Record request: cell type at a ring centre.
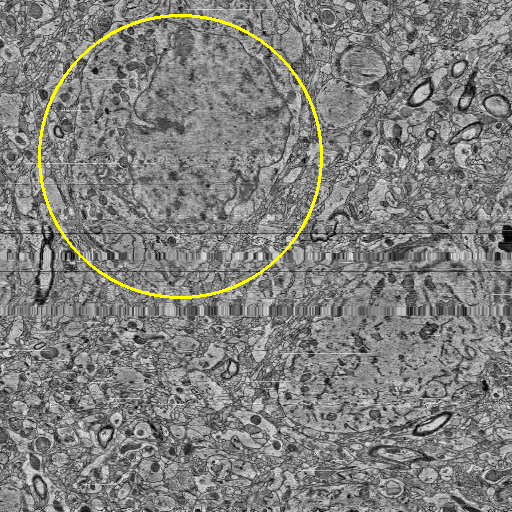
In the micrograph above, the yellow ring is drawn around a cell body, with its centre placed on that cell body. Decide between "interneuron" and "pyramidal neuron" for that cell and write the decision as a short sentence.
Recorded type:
The cell centred in the yellow ring is an interneuron.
